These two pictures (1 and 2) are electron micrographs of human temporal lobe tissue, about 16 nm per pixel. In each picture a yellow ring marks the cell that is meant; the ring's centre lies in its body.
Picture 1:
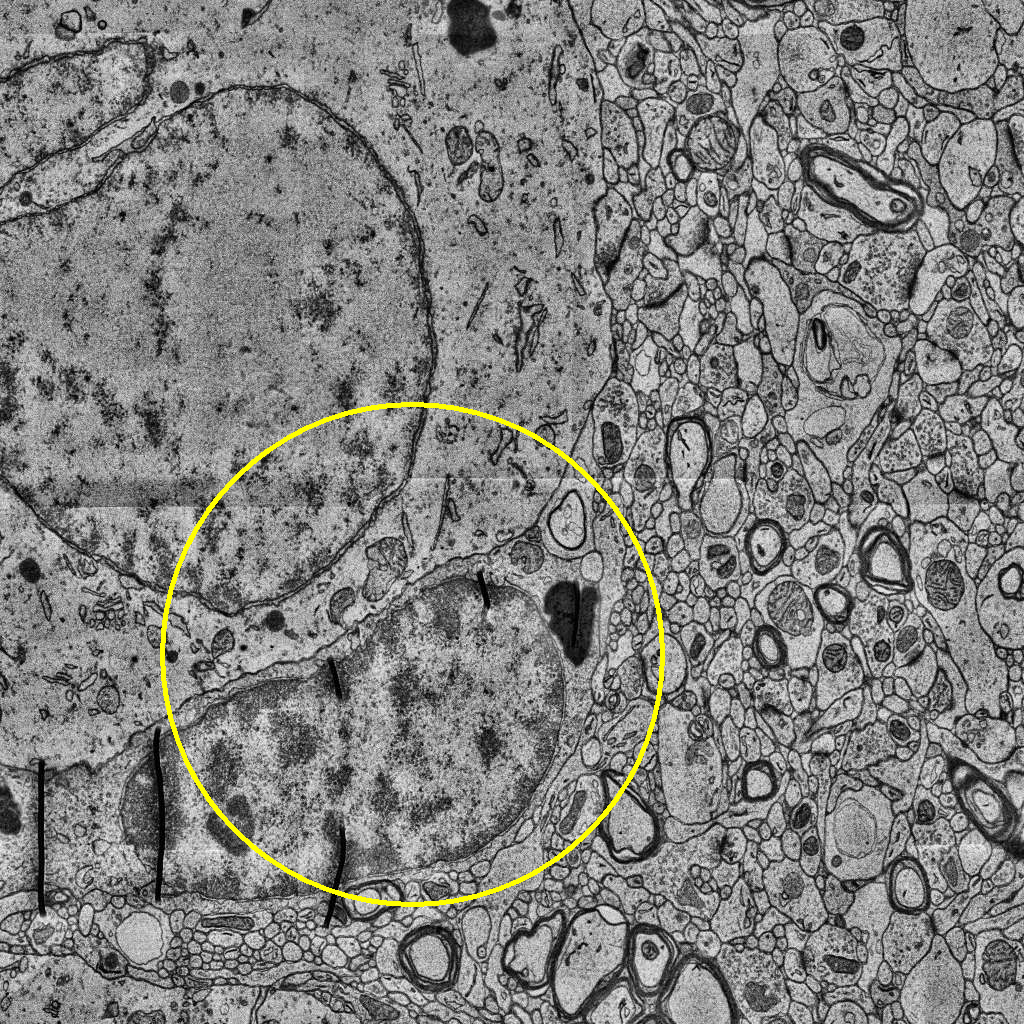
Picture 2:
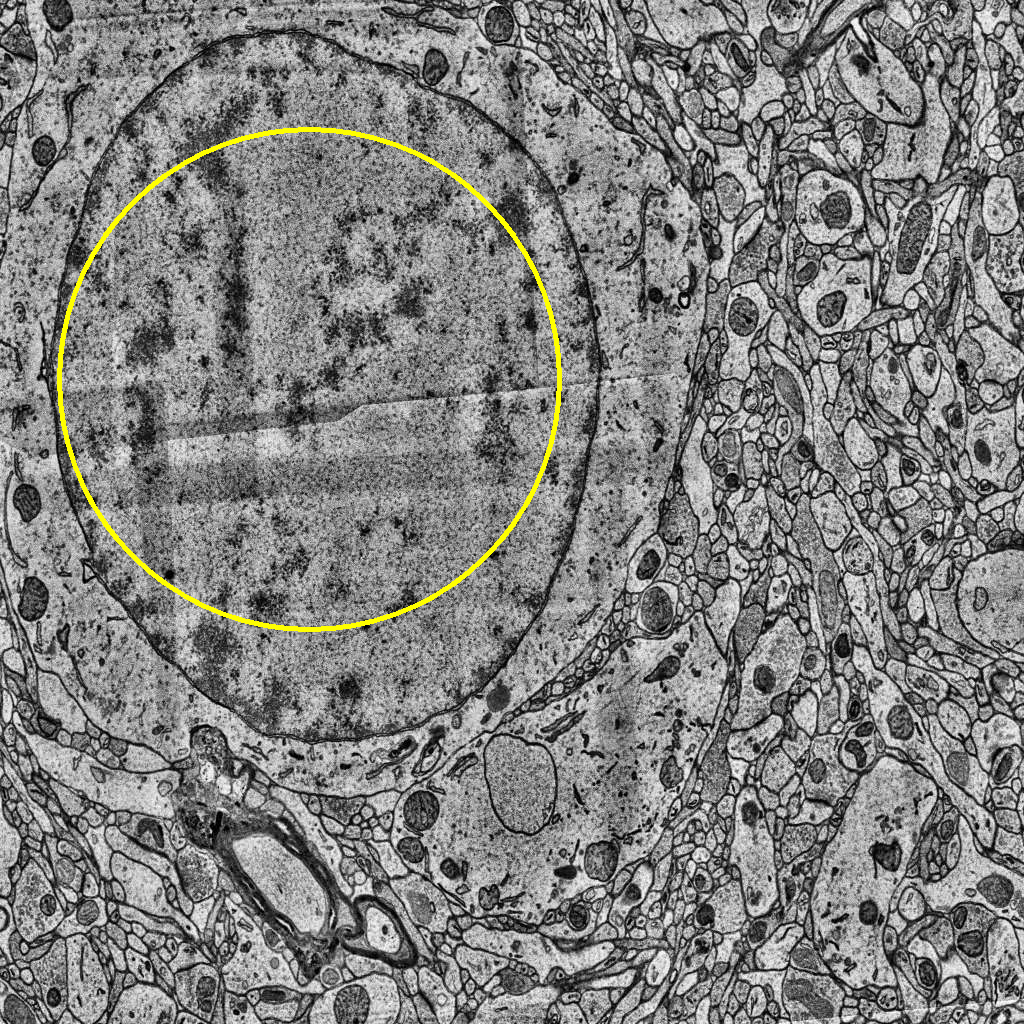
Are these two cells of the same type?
No; the cell in picture 1 is an oligodendrocyte, while the one in picture 2 is a pyramidal neuron.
